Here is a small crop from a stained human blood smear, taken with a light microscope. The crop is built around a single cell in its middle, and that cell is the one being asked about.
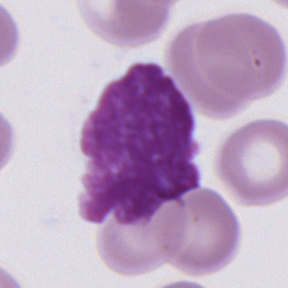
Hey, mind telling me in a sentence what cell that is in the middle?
The crop shows a smudge cell in its centre.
